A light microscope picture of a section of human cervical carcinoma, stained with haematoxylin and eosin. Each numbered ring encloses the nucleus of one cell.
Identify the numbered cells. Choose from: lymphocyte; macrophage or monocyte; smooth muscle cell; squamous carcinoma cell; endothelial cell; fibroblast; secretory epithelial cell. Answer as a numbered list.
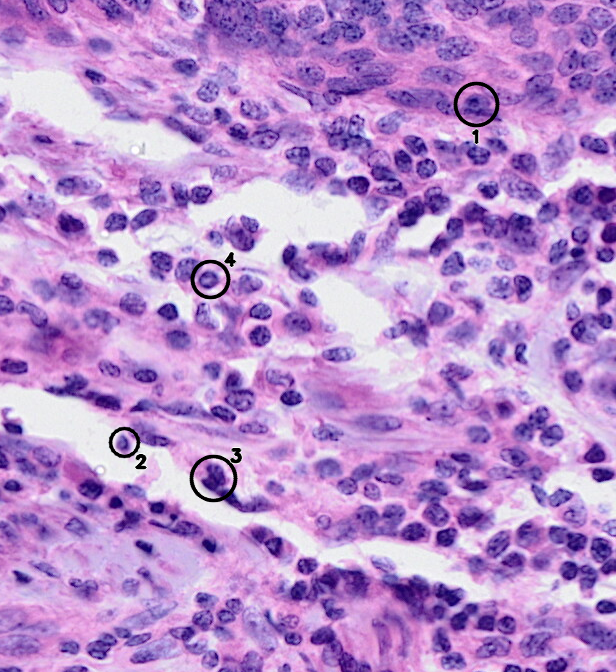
1. squamous carcinoma cell
2. lymphocyte
3. lymphocyte
4. lymphocyte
